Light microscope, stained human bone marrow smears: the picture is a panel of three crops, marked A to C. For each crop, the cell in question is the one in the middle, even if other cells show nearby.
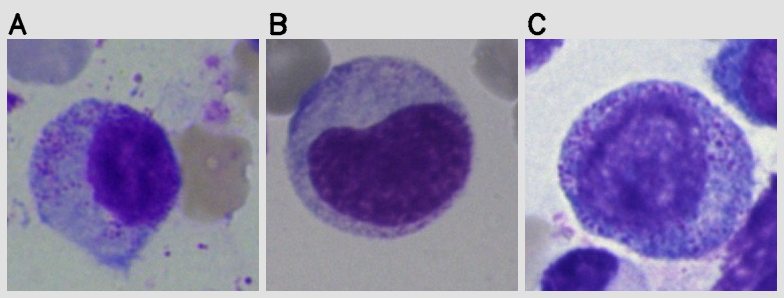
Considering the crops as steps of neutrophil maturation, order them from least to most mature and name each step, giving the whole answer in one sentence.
The order from the least mature cell to the most mature cell is crop C (a promyelocyte), crop A (a myelocyte) and crop B (a metamyelocyte).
